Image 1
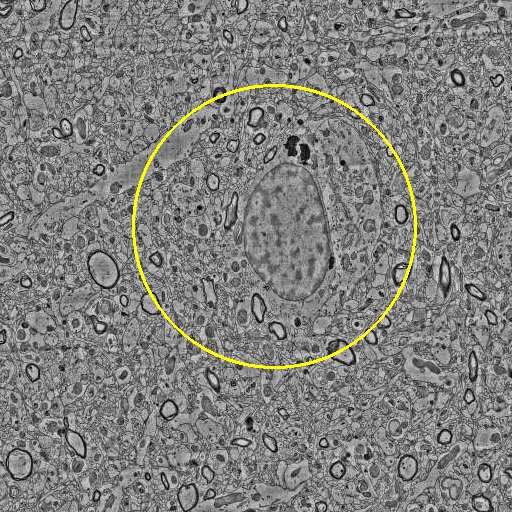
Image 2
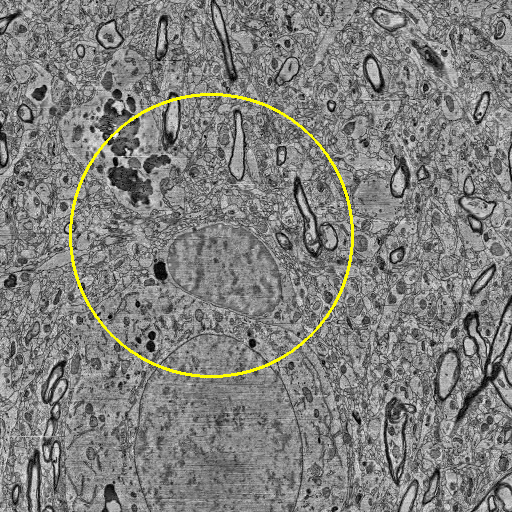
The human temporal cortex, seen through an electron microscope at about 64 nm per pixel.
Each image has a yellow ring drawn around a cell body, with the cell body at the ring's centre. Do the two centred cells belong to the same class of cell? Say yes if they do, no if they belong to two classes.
yes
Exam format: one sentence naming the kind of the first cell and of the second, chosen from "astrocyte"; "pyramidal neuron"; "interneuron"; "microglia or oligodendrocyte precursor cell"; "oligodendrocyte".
In each picture the ringed cell is an oligodendrocyte.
